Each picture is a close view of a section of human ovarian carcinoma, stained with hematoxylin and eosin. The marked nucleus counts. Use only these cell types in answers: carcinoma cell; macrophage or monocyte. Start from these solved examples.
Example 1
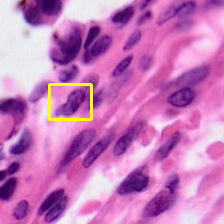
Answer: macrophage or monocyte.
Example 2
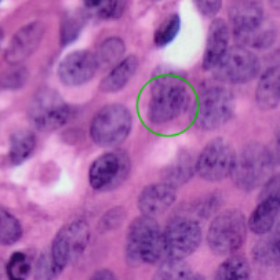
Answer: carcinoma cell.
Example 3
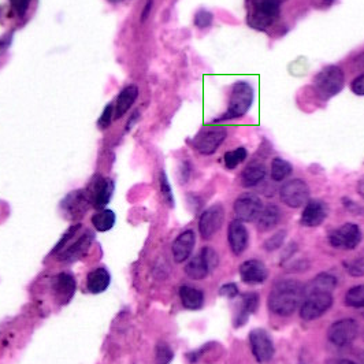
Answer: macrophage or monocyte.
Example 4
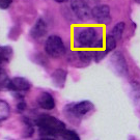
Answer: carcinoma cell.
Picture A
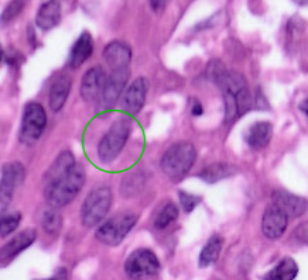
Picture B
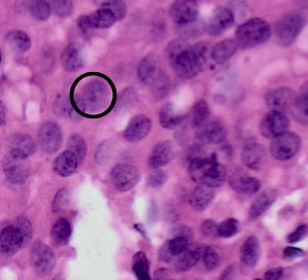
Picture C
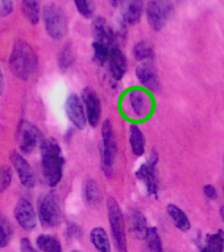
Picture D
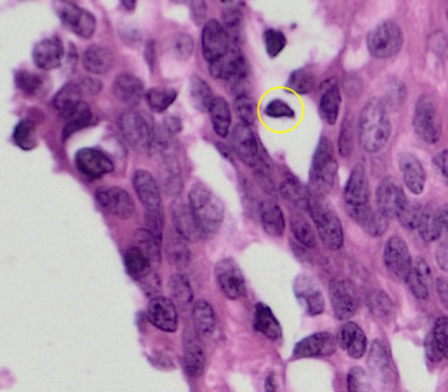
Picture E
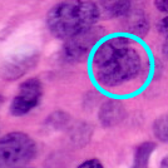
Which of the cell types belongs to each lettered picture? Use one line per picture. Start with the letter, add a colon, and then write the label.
A: carcinoma cell.
B: carcinoma cell.
C: macrophage or monocyte.
D: carcinoma cell.
E: carcinoma cell.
